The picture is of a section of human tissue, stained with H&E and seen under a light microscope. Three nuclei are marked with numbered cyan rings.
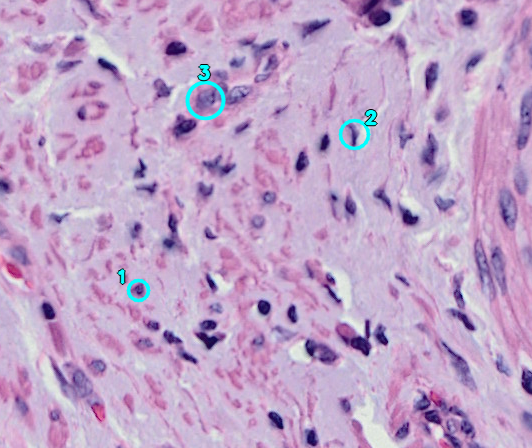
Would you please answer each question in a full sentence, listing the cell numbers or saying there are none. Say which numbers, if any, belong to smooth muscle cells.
Mind that only cell 1 is a smooth muscle cell, none of the rest.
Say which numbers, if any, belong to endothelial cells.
Only number 3 of the marked cells is an endothelial cell.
